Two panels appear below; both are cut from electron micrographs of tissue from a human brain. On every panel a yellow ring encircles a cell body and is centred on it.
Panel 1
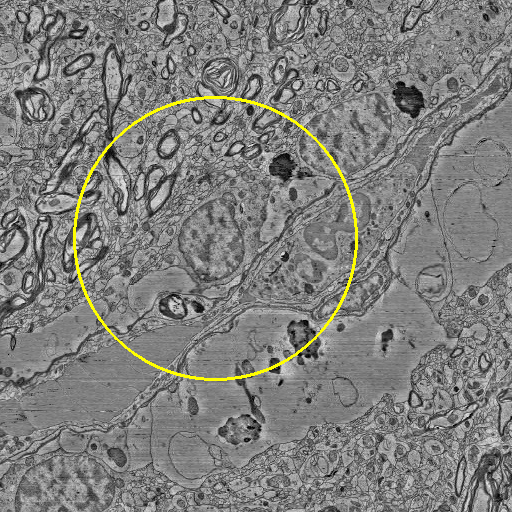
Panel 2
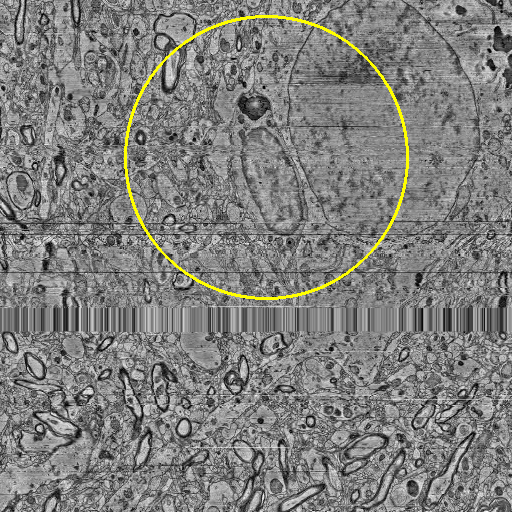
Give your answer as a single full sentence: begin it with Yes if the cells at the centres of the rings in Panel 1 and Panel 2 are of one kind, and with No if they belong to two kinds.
Yes, the cells in the middle of the rings in Panels 1 and 2 are of one kind.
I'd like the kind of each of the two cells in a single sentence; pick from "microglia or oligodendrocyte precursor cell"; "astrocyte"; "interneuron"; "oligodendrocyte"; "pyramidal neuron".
Both rings mark an oligodendrocyte, one in each picture.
